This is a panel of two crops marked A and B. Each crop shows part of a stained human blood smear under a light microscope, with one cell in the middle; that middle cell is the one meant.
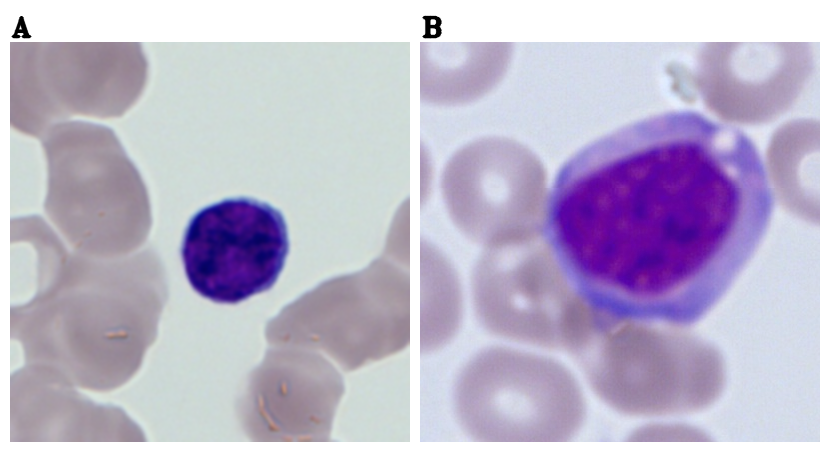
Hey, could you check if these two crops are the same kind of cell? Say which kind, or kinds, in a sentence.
No, crop A shows a lymphocyte, whereas in crop B the cell is a myeloblast.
